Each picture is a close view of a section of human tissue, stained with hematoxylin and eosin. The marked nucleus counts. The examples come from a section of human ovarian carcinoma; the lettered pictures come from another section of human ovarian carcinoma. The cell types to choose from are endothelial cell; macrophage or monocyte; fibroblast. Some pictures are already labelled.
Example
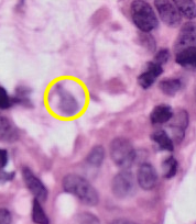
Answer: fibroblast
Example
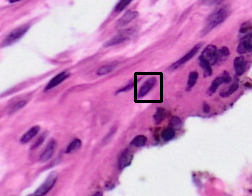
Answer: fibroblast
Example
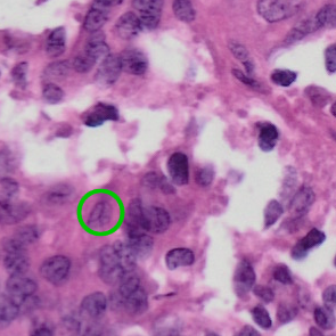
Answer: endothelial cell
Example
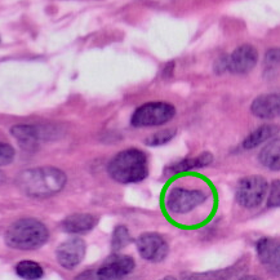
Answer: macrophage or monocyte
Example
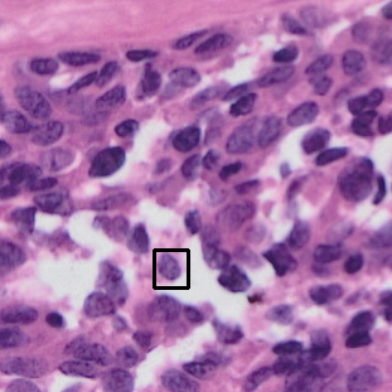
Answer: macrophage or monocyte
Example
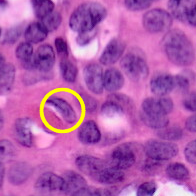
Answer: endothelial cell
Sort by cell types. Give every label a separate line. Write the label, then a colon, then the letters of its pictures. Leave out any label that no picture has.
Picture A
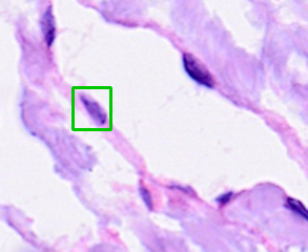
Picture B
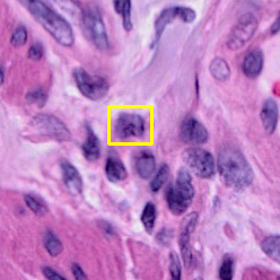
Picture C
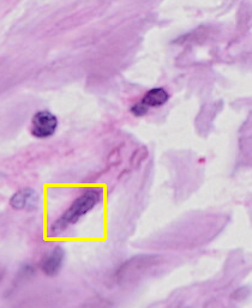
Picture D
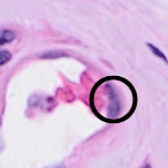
endothelial cell: A, C, D
macrophage or monocyte: B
